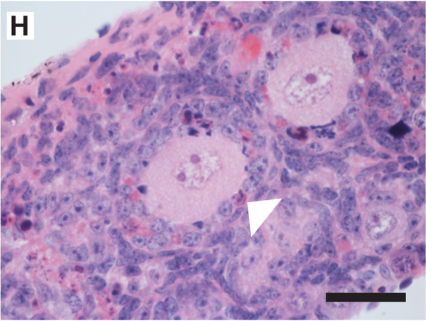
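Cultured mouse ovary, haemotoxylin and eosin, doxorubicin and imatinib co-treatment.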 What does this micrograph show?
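Ovarian tissue with two large oocytes that have pale, finely granular pink cytoplasm and nuclei containing clumped dark material, each surrounded by several layers of granulosa cells. Among the surrounding cells are many small, dark, condensed nuclei and scattered bright pink fragments, suggesting degenerating cells. A smaller follicle lies at the right edge. The stroma between follicles consists of densely packed cells with oval and elongated purple nuclei, and a thin pink surface layer runs along the top edge.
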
